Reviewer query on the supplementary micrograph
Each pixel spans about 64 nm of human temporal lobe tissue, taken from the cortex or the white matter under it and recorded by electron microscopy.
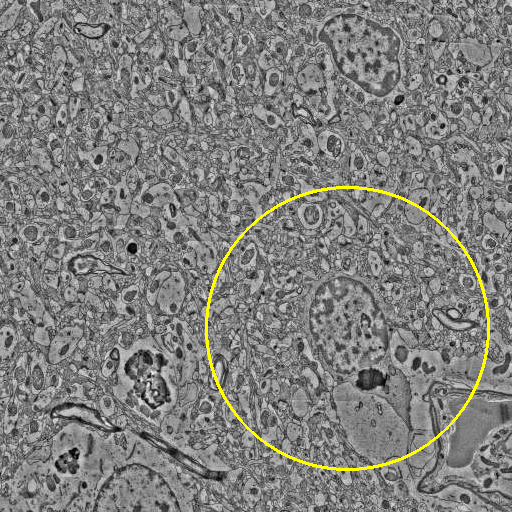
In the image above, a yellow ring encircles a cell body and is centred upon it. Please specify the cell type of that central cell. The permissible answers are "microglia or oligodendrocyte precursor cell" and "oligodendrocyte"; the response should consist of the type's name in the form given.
oligodendrocyte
